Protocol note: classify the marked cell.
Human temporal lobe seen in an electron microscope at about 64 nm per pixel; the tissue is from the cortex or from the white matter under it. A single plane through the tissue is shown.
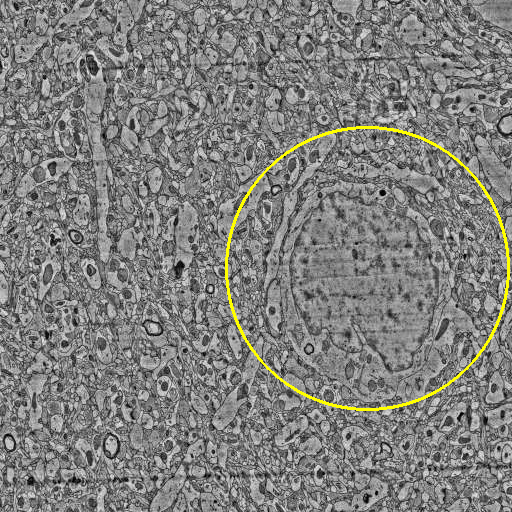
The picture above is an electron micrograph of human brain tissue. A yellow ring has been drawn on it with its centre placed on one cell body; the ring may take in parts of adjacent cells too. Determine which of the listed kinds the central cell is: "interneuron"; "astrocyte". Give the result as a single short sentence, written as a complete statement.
The central cell is an interneuron.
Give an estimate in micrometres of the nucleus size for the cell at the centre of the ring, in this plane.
In this plane, roughly 12 by 9 micrometres.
